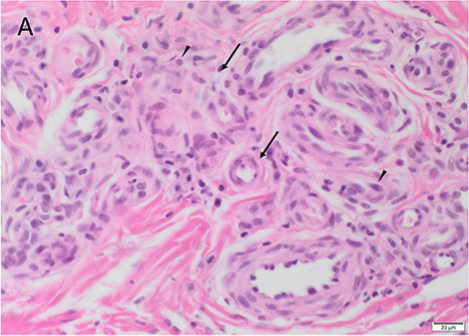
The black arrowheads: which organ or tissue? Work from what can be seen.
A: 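The arrowheads lie in tissue between the vessels. This tissue holds scattered nuclei among pink fibres. Bands of pink collagen run across the lower left.
Answer: fibrous stroma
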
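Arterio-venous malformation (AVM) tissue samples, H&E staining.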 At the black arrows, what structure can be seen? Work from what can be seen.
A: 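Vessels of varying luminal diameter and wall thickness. Many round and oval lumina cut in cross-section lie close together. The lumina differ in width and their walls differ in thickness. Walls are made of concentric layers of elongated nuclei.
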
